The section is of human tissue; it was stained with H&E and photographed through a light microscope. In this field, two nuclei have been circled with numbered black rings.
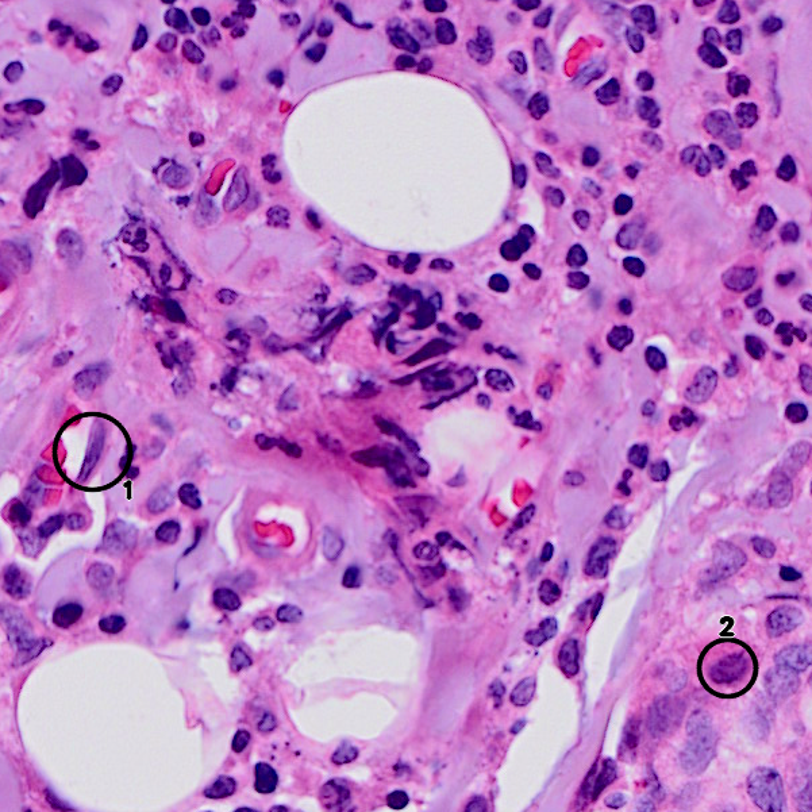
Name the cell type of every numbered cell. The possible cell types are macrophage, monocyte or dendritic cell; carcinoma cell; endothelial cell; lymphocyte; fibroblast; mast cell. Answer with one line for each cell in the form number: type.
1: endothelial cell
2: carcinoma cell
